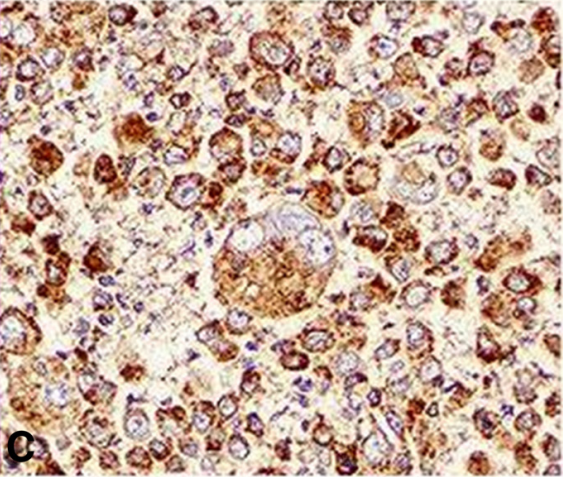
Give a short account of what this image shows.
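The brown stain is granular and fills the cytoplasm, while the nuclei stay pale with blue counterstain. A large cell near the centre is also stained brown around its nucleus. Small inflammatory cells between them are largely unstained.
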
